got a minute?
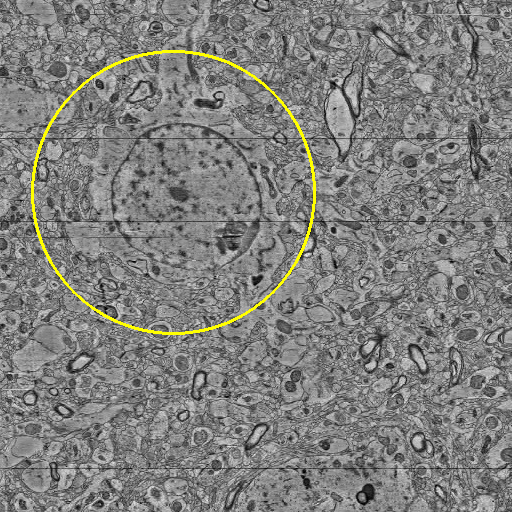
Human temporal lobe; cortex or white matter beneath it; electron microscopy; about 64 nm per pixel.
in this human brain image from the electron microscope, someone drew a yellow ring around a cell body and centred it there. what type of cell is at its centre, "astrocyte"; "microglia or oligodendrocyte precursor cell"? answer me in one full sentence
It's an astrocyte at the middle of that yellow ring in the shot.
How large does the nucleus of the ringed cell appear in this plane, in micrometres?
In this plane the nucleus measures roughly 10 micrometres across.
